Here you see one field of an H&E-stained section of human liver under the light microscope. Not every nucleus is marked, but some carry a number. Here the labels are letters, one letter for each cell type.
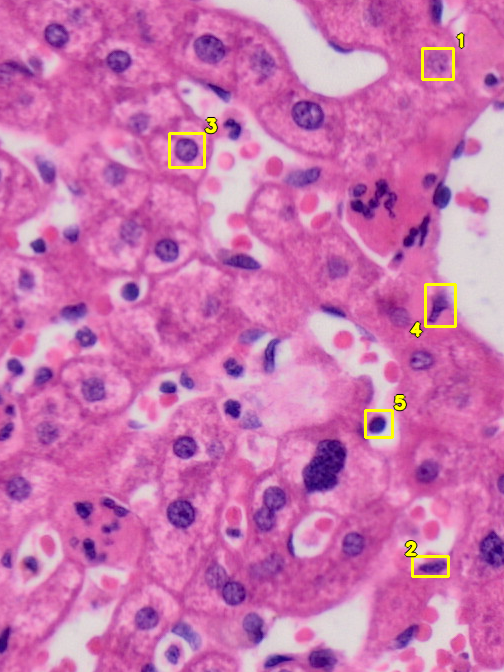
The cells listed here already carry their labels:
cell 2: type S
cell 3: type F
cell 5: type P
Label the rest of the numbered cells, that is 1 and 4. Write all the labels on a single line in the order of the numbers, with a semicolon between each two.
type F; type S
